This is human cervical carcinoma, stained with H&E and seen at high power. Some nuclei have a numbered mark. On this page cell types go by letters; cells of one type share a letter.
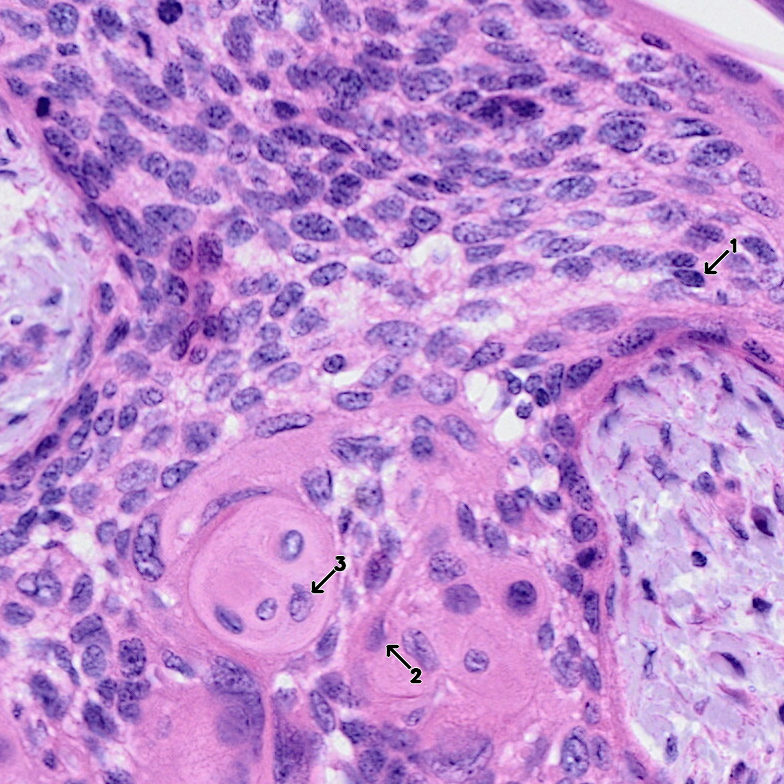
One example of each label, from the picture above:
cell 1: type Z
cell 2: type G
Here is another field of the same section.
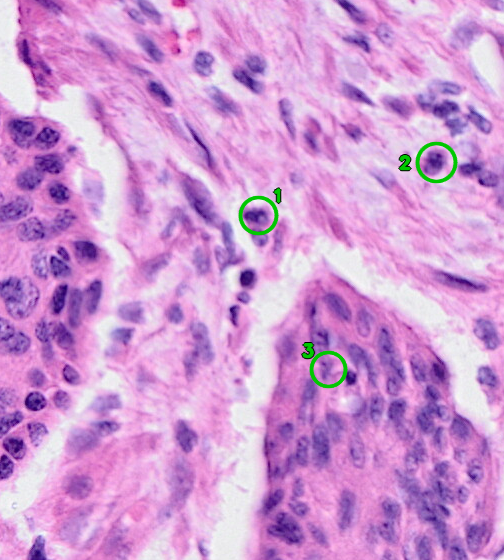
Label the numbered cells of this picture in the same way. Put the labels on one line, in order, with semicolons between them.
type Z; type Z; type G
